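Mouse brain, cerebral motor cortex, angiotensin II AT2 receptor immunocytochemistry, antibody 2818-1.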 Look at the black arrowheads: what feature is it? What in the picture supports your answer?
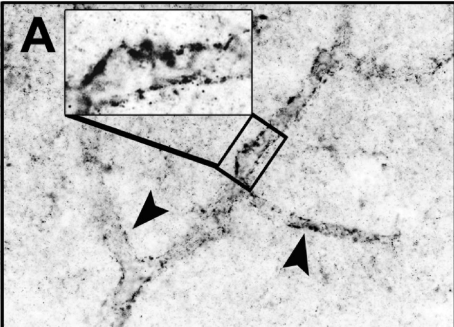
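Thin dark branching tubular profiles run through pale tissue. The profiles branch and join like a network. The boxed enlargement shows a narrow tube with stained walls.
Hence: parenchymal microvessels.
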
